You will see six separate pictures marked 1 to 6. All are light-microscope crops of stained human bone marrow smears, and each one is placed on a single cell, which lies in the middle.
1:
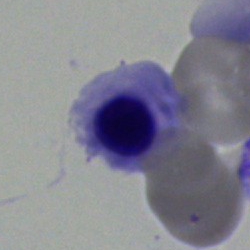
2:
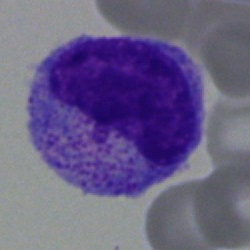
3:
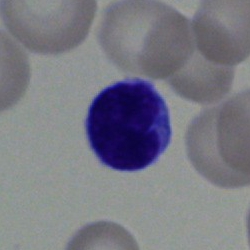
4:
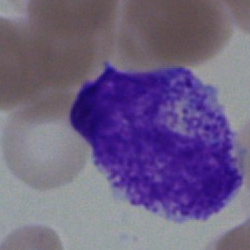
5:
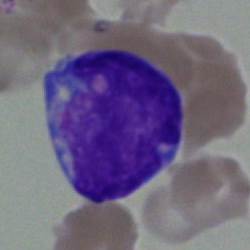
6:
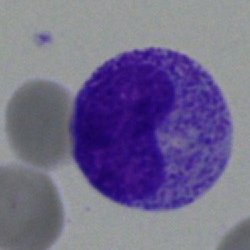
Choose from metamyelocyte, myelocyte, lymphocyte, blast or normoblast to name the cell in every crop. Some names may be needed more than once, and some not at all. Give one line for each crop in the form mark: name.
1: normoblast
2: myelocyte
3: lymphocyte
4: metamyelocyte
5: blast
6: metamyelocyte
